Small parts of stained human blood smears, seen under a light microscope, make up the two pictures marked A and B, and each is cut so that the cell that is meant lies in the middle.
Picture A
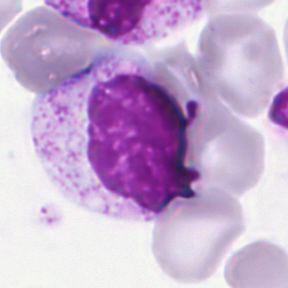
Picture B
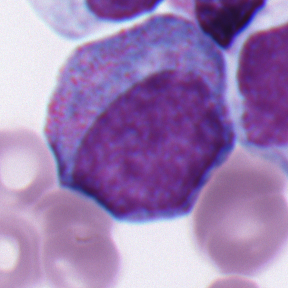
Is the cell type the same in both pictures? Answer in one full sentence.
No, the types are not the same, since picture A shows a myelocyte and picture B a promyelocyte.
